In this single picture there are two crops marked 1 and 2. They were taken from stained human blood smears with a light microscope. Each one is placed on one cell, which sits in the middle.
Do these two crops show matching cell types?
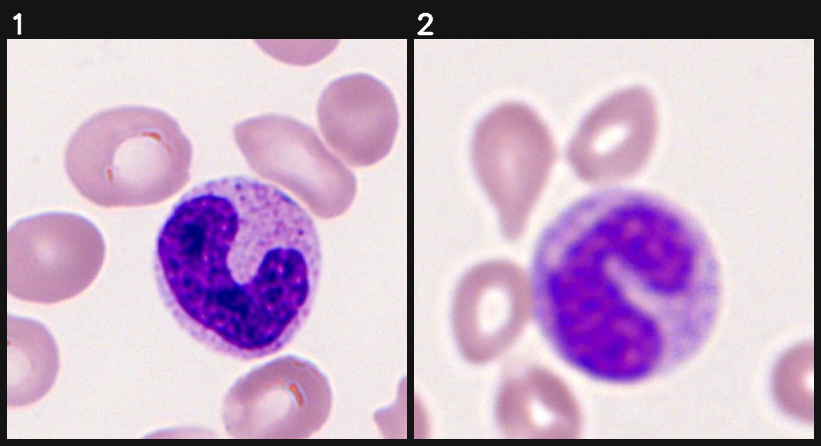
yes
